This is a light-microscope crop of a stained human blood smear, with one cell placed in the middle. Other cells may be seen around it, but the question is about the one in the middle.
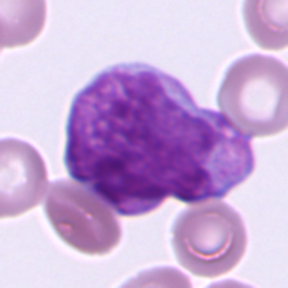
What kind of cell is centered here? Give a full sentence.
The cell occupying the middle of the crop is an atypical promyelocyte.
